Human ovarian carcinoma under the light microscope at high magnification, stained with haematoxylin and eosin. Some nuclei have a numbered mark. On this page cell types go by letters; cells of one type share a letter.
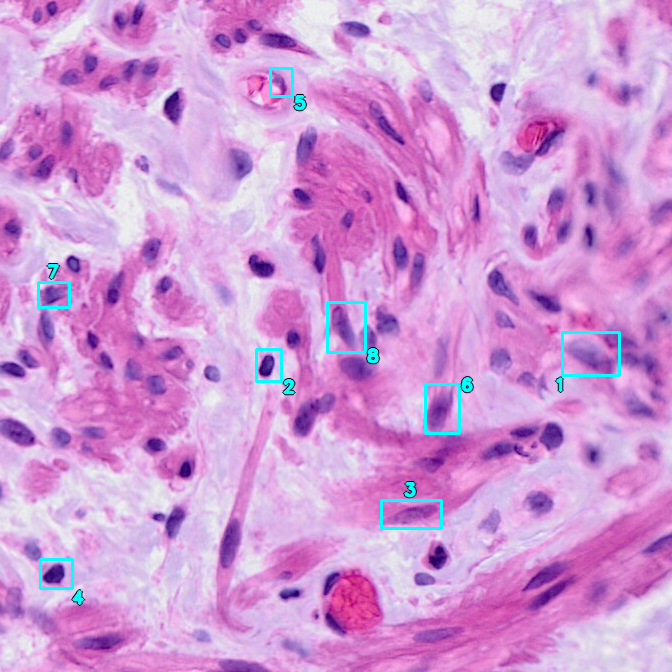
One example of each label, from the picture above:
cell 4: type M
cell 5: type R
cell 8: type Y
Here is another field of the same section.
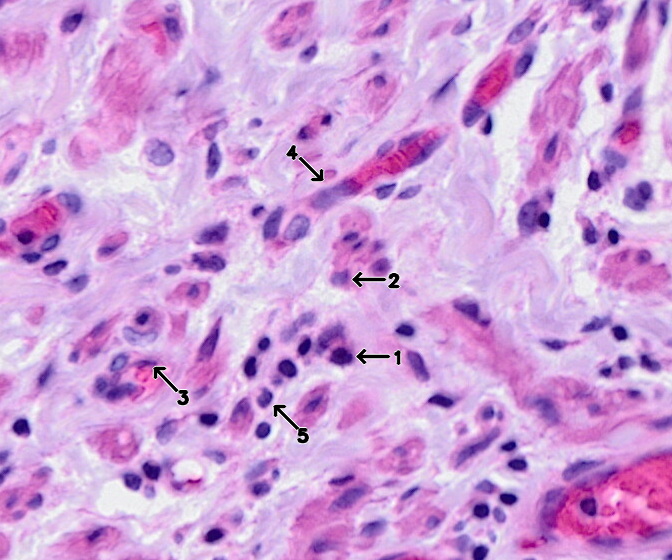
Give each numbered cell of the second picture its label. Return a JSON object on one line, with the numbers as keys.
{"1": "type M", "2": "type Y", "3": "type R", "4": "type R", "5": "type M"}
